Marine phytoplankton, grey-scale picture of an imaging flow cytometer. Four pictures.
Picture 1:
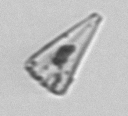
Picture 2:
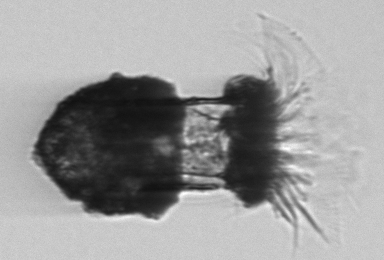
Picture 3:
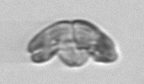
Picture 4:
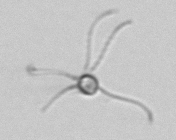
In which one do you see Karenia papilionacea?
In picture 3.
